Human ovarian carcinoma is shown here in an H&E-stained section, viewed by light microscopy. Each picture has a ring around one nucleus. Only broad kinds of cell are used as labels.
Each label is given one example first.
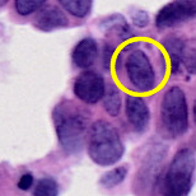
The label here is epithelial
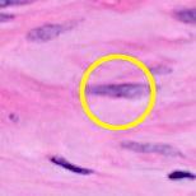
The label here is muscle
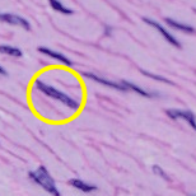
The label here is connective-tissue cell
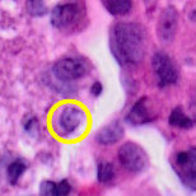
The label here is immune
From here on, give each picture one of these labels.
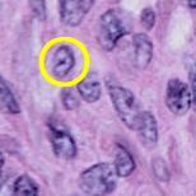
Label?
connective-tissue cell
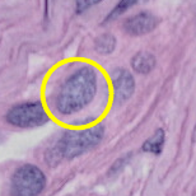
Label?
epithelial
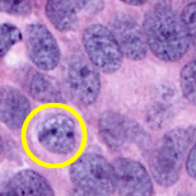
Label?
immune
